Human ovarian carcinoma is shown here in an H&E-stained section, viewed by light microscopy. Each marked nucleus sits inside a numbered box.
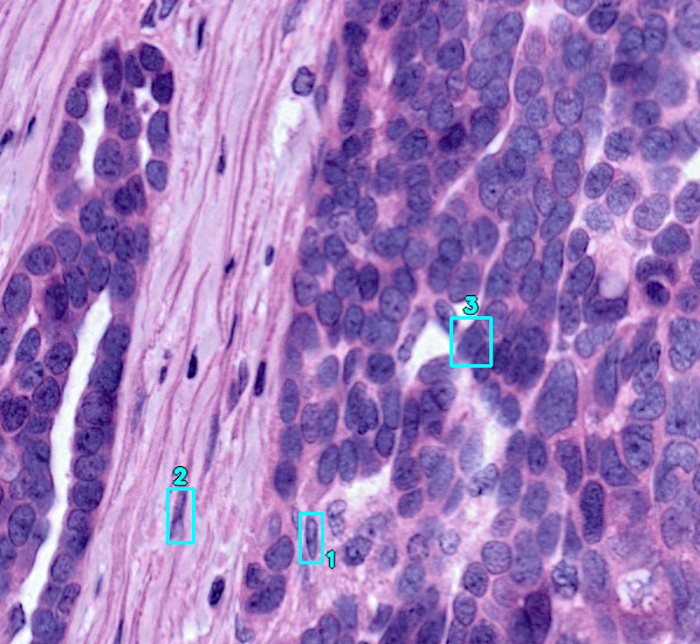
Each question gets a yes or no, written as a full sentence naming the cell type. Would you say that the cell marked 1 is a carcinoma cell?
No, the cell tagged 1 is a fibroblast, not a carcinoma cell.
